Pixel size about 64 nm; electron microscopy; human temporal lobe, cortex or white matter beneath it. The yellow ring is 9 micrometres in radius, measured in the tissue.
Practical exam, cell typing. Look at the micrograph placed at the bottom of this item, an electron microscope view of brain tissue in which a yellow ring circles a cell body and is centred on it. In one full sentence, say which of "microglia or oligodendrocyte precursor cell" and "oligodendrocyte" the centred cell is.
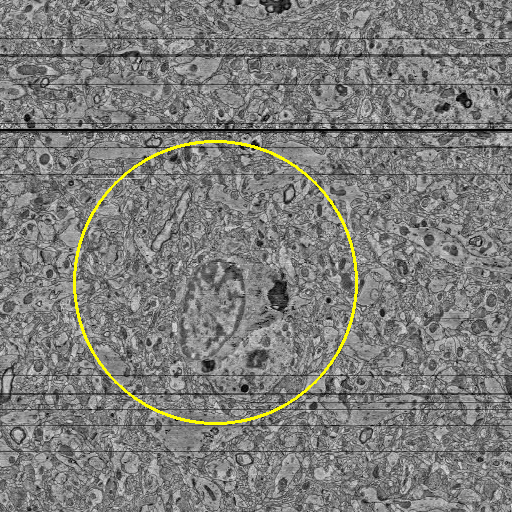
Given the options, an oligodendrocyte fits the cell whose body the yellow ring is centred on.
